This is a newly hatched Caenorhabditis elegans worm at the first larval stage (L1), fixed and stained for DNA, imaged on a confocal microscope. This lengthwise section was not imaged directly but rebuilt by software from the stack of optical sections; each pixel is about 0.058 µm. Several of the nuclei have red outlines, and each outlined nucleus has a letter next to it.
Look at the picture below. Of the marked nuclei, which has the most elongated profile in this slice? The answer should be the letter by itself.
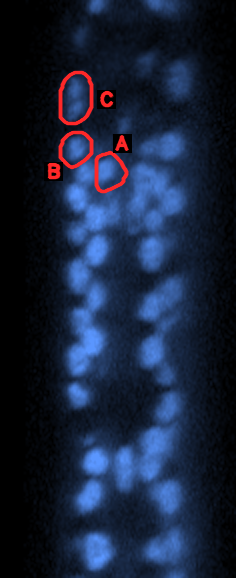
C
